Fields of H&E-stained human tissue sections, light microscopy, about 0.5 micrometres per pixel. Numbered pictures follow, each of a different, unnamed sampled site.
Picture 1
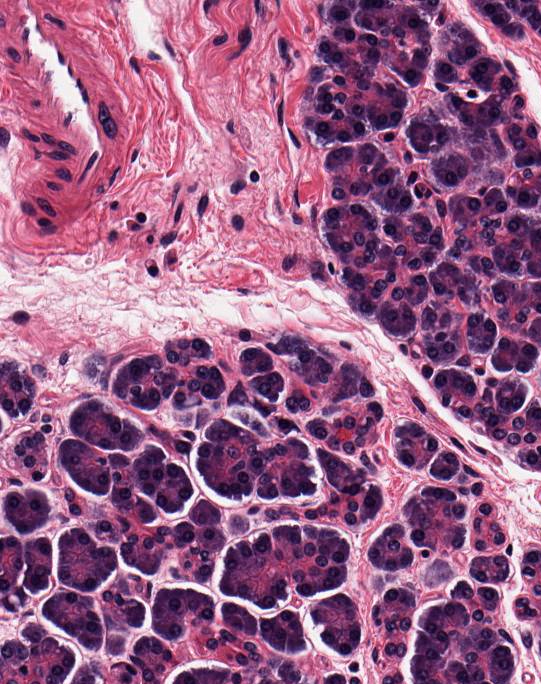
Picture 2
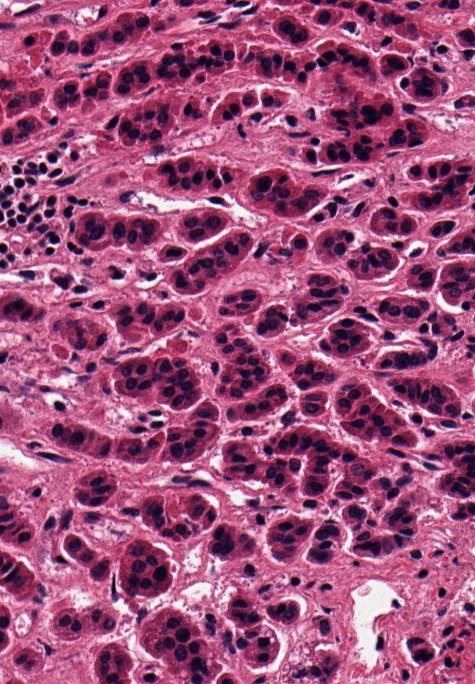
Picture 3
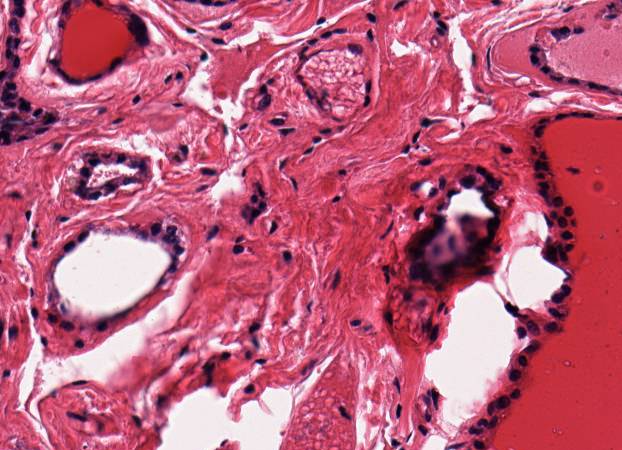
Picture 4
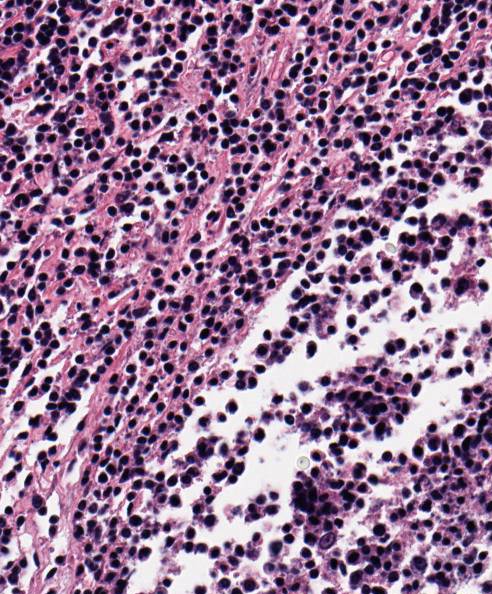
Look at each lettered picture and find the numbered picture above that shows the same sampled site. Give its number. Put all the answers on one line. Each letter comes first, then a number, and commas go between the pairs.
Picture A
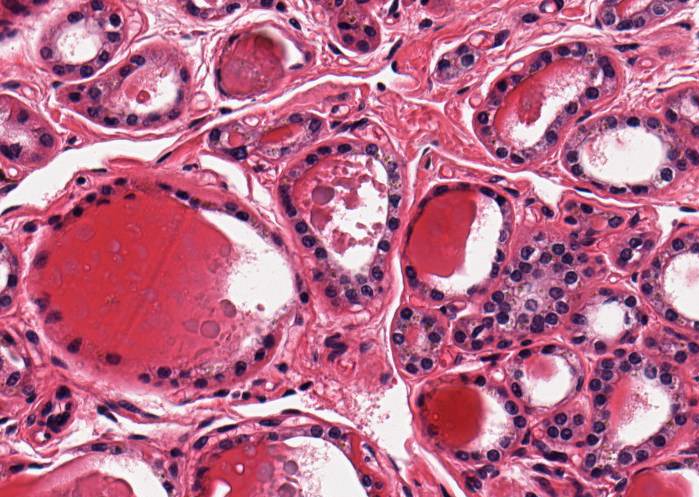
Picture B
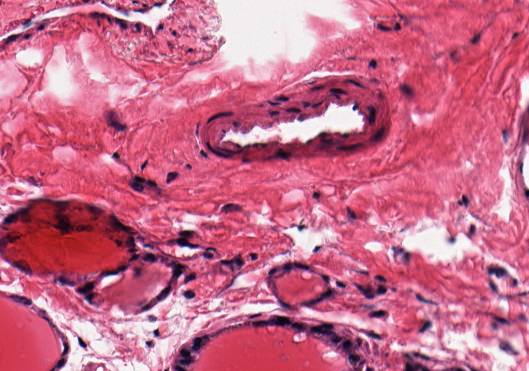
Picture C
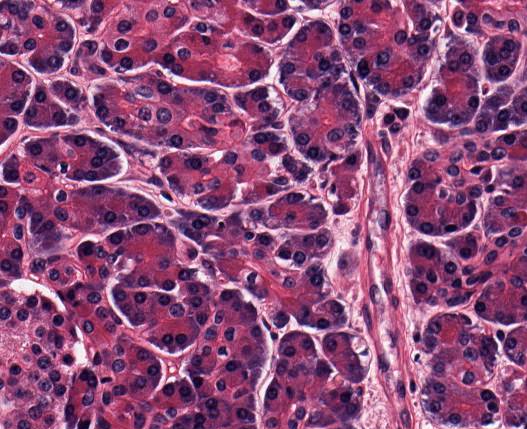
A 3, B 3, C 1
